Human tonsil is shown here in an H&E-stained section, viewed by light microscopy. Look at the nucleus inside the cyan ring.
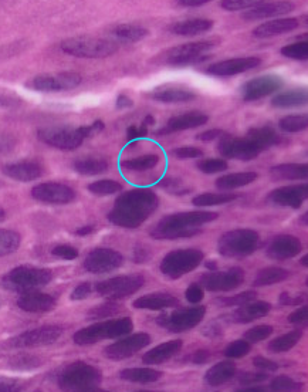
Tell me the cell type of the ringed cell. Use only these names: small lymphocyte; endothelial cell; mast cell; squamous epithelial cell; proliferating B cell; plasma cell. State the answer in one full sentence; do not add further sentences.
It is a squamous epithelial cell that the ringed cell represents.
